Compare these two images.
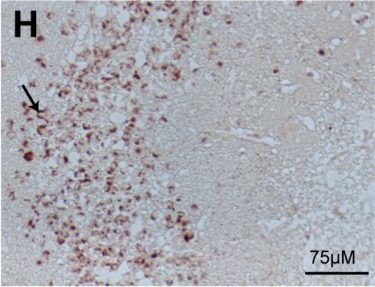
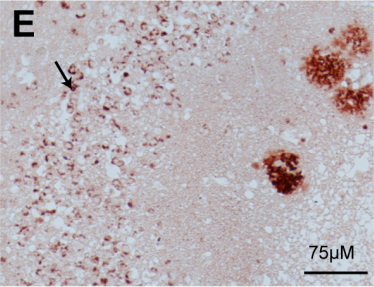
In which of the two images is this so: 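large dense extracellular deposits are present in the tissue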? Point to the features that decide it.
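First image: only small stained cells in a band and pale neuropil, no large clumps. Second image: several large dark-brown granular clumps lie beside the band of small cells. That points to this answer: the second image.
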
